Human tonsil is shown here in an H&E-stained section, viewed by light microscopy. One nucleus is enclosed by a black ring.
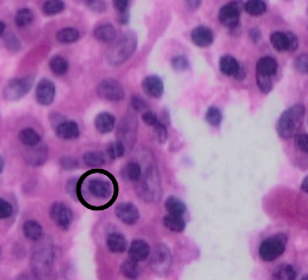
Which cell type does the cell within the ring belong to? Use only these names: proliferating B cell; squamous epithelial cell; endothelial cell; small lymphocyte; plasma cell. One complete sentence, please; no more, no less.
So far as cell type goes, the cell within the ring is a plasma cell.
